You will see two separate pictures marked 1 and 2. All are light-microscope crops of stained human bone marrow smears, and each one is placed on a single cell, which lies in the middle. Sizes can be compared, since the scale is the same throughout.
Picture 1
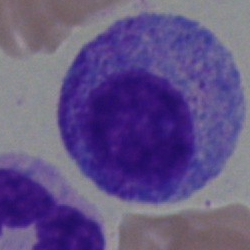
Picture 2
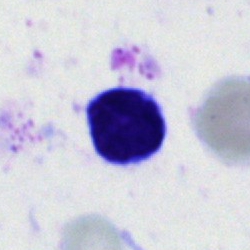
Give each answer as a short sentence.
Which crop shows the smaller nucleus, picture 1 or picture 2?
The nucleus in picture 2 is smaller; the one in picture 1 has about 3 times its area.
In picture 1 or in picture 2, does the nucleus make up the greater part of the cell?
Of the two, the nucleus in picture 2 makes up the greater part of its cell.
